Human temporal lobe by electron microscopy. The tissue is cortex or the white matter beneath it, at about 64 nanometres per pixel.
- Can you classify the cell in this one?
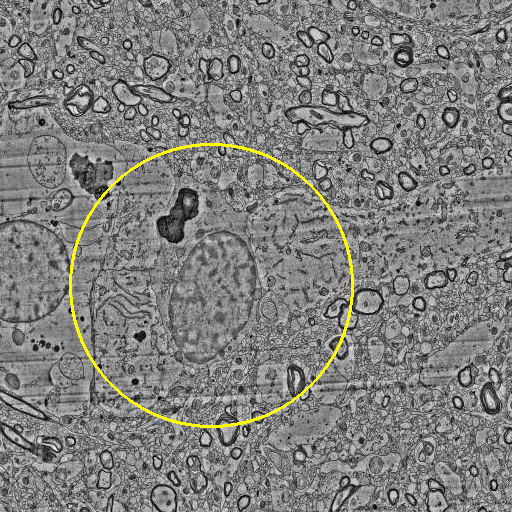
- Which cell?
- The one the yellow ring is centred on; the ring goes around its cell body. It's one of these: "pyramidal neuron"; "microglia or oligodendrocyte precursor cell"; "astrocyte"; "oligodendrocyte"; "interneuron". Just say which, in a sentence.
The cell body in the ring belongs to an oligodendrocyte.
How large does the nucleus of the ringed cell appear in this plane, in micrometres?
Approximately 9 by 5 micrometers, which makes the nucleus clearly longer than it is wide in this plane.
